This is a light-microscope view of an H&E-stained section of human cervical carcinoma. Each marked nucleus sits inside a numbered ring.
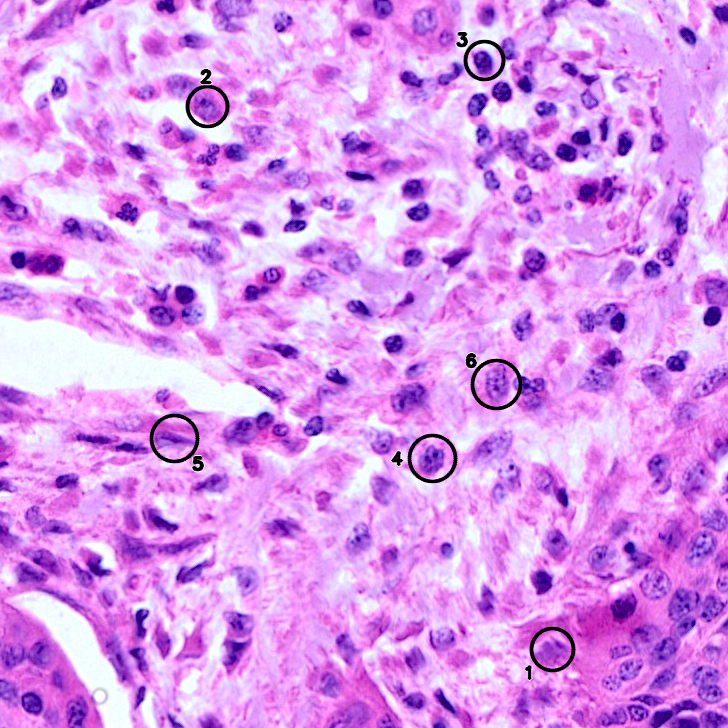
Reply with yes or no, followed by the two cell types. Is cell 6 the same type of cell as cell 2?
Yes, cells 6 and 2 are two macrophages or monocytes.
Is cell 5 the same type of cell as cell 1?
Yes, cells 5 and 1 are fibroblasts, the two of them alike.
